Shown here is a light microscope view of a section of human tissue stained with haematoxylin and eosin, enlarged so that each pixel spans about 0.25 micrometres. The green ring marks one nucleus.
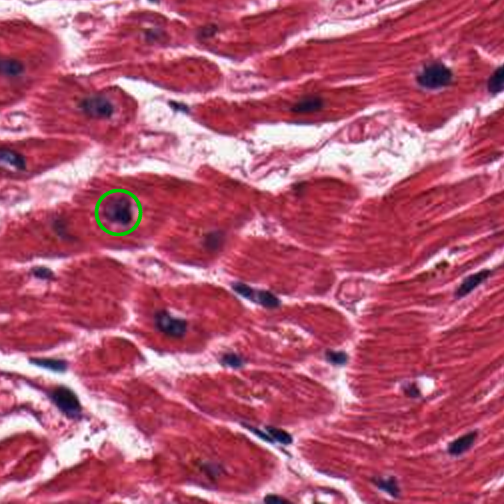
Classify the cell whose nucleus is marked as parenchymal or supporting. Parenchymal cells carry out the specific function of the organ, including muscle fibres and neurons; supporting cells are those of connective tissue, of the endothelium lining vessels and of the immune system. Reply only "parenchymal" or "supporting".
parenchymal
